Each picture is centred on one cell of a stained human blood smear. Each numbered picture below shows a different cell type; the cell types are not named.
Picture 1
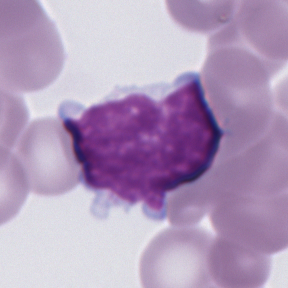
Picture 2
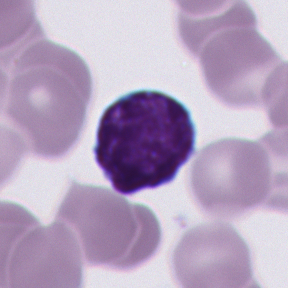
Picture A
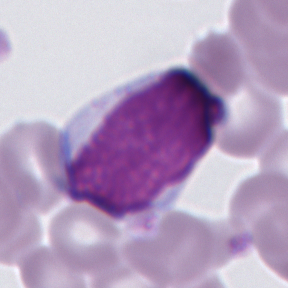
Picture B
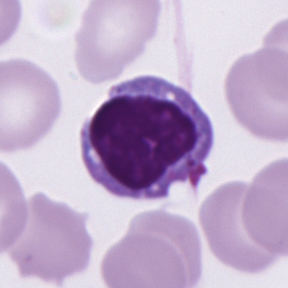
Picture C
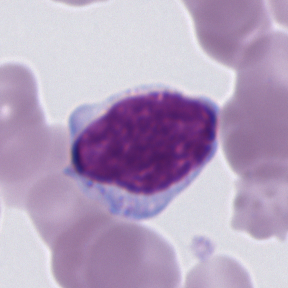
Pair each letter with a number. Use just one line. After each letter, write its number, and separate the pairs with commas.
A 1, B 2, C 1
